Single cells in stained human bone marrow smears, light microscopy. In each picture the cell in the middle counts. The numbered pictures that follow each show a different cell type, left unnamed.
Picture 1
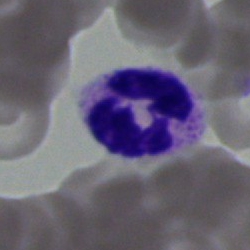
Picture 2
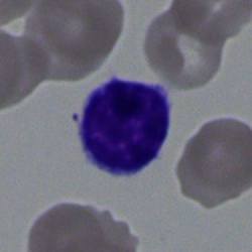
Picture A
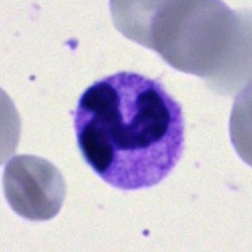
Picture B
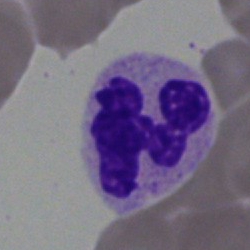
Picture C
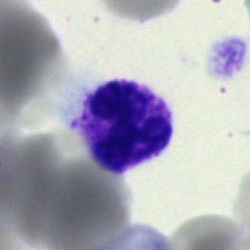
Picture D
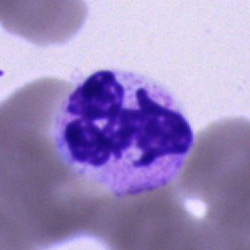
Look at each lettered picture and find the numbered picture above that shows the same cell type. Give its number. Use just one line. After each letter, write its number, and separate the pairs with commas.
A 1, B 1, C 1, D 1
